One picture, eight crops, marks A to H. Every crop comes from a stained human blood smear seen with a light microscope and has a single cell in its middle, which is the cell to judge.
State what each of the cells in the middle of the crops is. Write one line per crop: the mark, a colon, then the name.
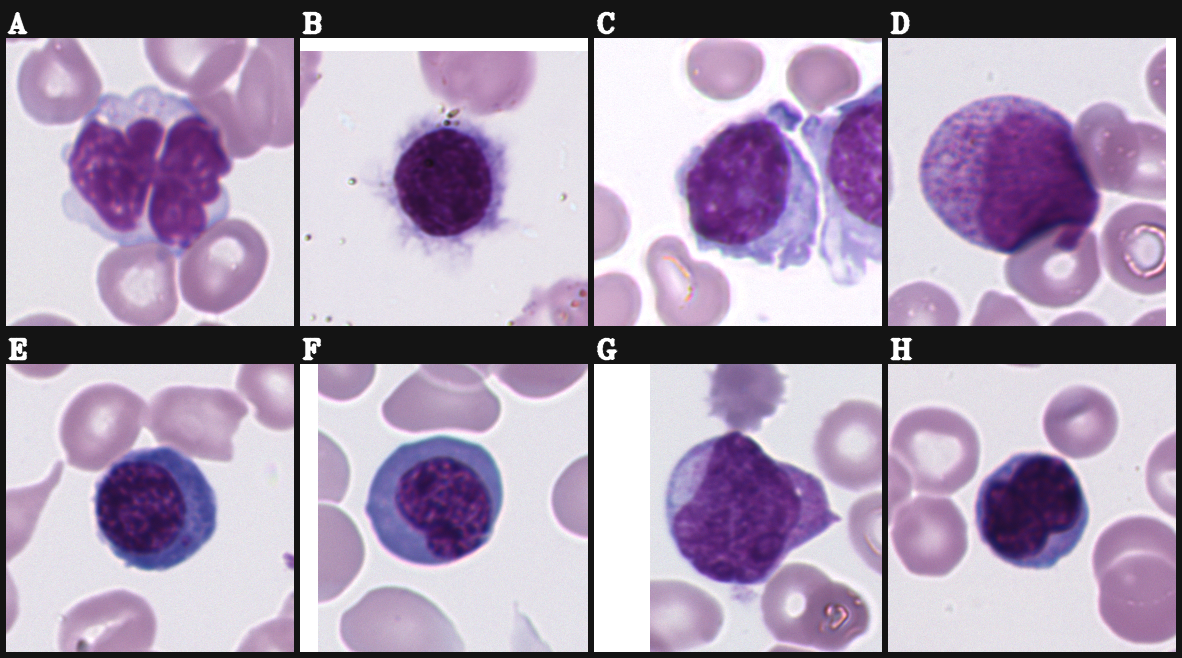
A: large granular lymphocyte
B: hairy cell
C: plasma cell
D: myelocyte
E: normoblast
F: normoblast
G: atypical promyelocyte
H: typical lymphocyte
